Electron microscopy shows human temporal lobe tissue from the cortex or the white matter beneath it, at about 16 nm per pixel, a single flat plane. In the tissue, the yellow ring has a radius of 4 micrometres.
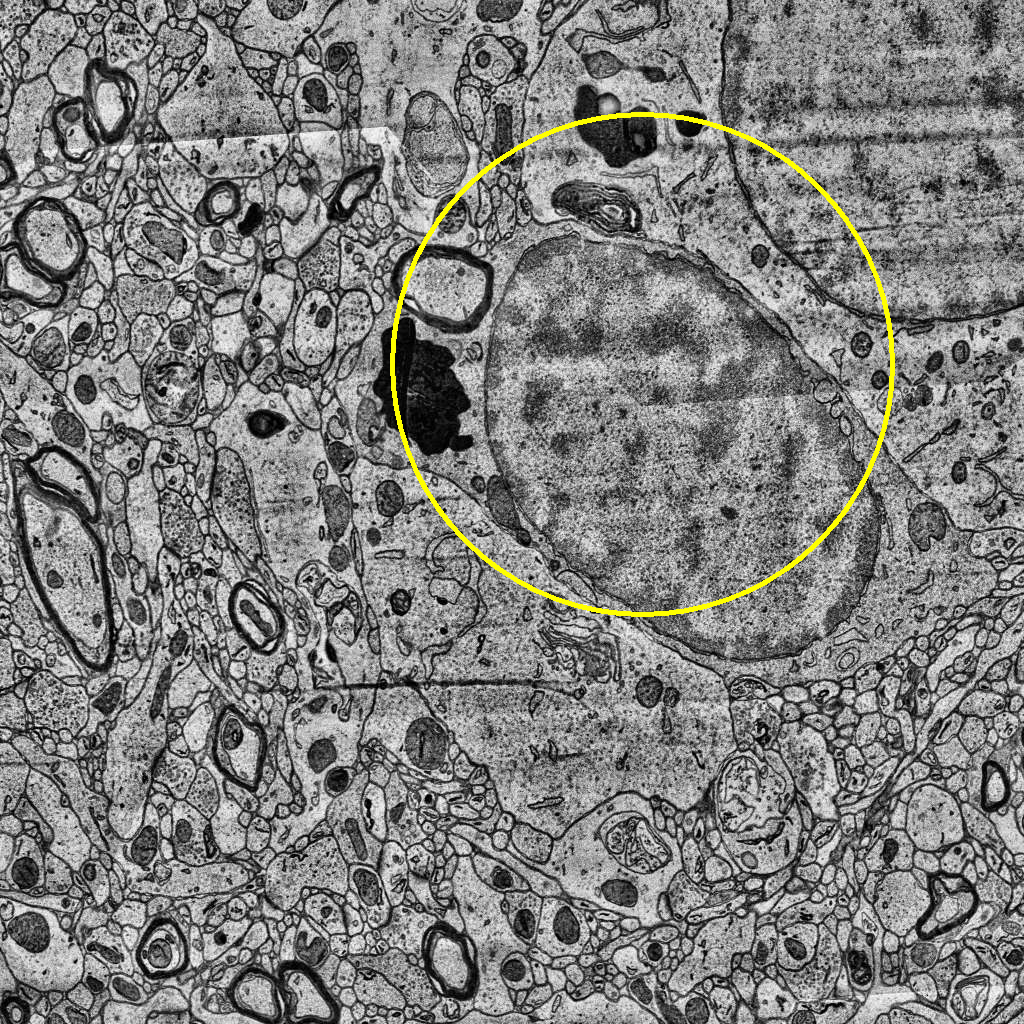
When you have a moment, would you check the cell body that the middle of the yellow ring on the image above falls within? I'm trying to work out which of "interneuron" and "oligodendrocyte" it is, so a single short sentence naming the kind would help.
This cell body belongs to an oligodendrocyte.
